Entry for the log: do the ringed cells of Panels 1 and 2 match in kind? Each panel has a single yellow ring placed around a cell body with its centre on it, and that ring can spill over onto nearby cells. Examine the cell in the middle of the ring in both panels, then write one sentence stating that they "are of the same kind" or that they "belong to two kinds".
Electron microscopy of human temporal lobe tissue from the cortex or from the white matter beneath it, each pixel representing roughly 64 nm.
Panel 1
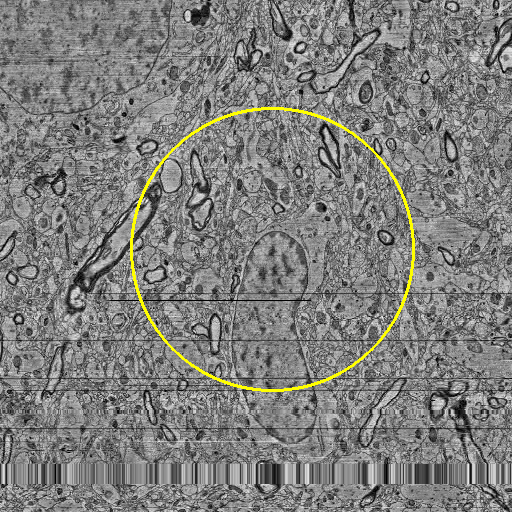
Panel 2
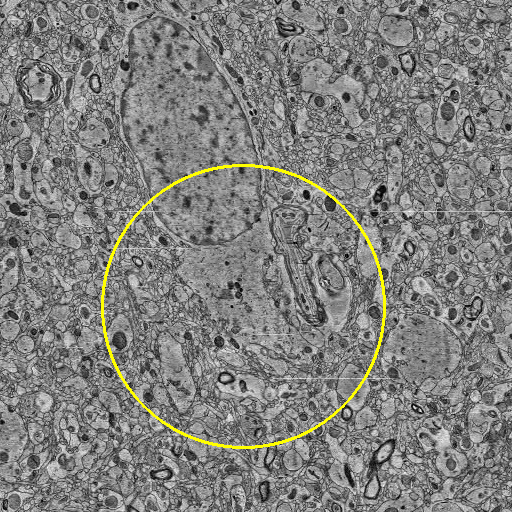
The centre cell of Panel 1's ring and that of Panel 2's ring are of the same kind.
